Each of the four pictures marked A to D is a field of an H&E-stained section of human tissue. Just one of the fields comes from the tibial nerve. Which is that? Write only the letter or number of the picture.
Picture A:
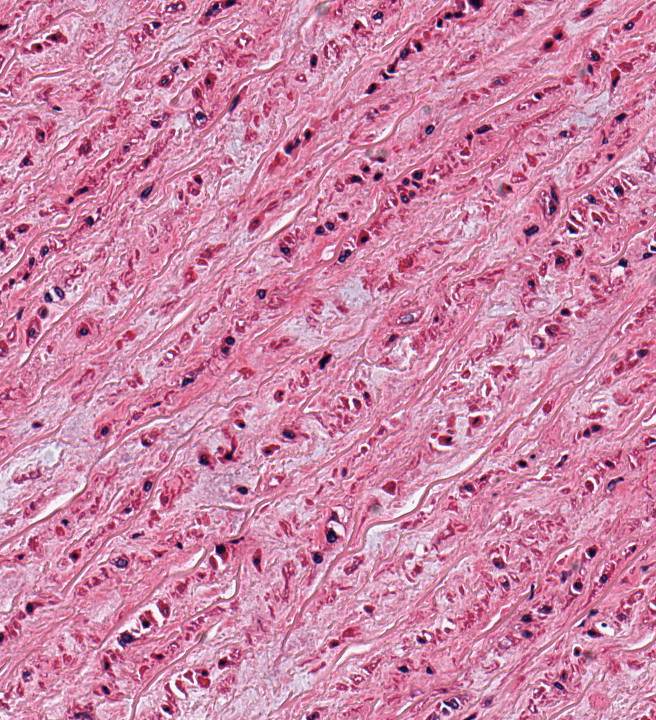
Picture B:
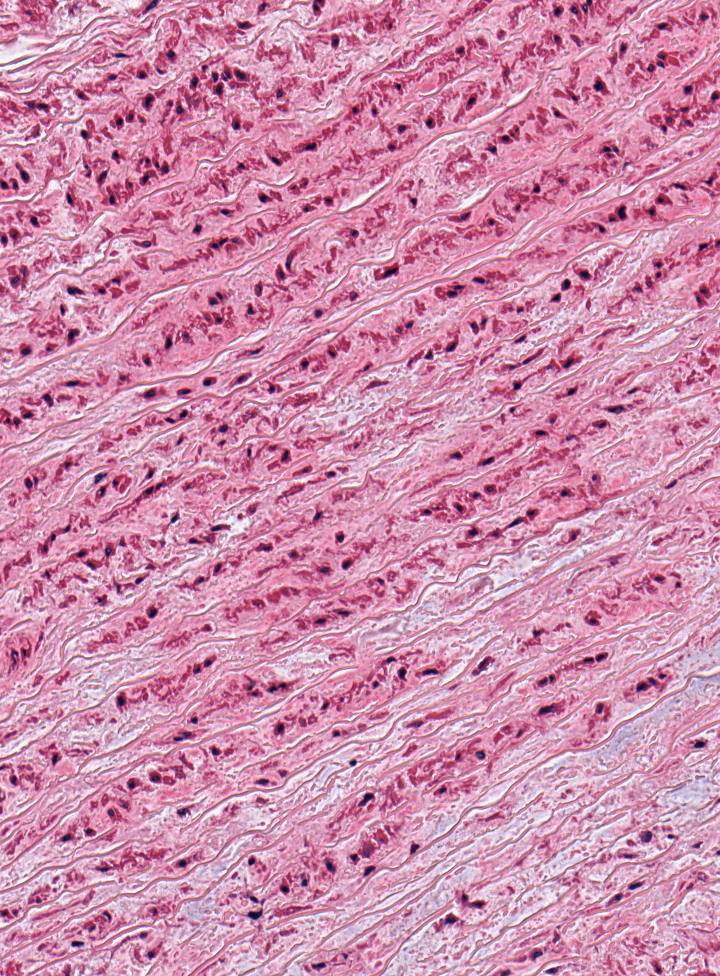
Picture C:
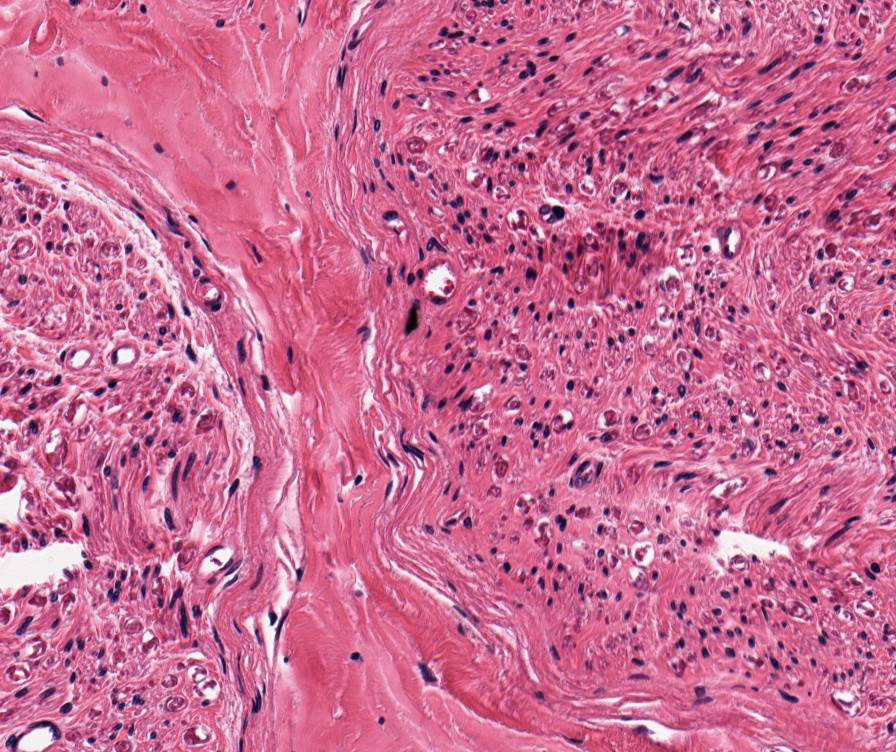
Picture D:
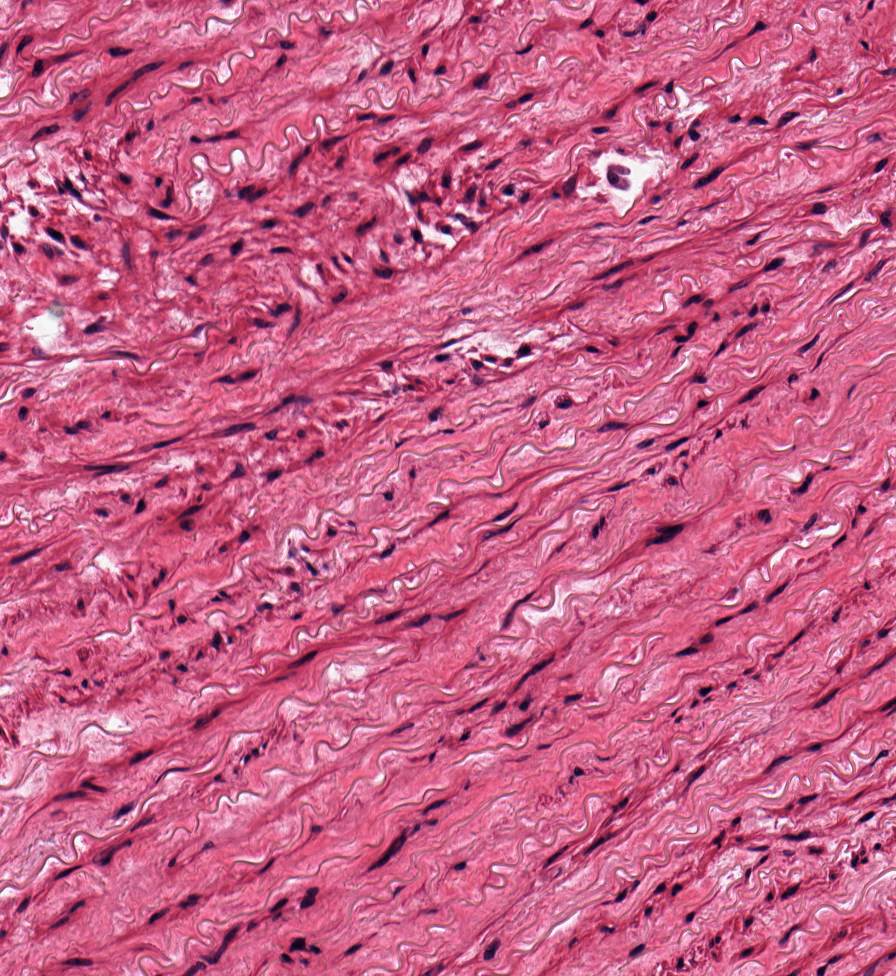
C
